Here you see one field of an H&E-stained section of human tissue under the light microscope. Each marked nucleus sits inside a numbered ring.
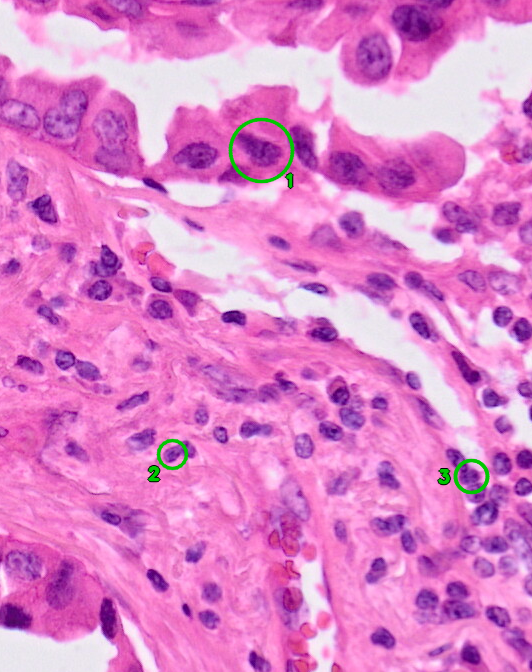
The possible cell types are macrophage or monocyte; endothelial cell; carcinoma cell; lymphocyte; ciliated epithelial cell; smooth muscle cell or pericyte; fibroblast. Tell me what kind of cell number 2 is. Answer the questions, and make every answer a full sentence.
The cell indicated with the number 2 is classed as a lymphocyte.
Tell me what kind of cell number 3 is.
The cell to which the number 3 is assigned is a lymphocyte.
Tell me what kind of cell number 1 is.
The identity of cell 1 is that of a carcinoma cell.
